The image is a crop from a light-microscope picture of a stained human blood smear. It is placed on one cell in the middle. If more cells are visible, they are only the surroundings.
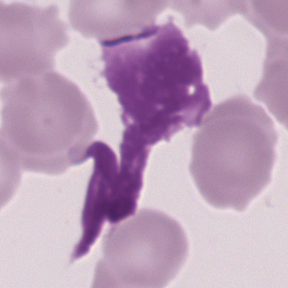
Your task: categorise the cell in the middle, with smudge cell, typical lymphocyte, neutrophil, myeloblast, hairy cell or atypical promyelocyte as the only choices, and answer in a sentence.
The cell centred in this crop is categorized as a smudge cell.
